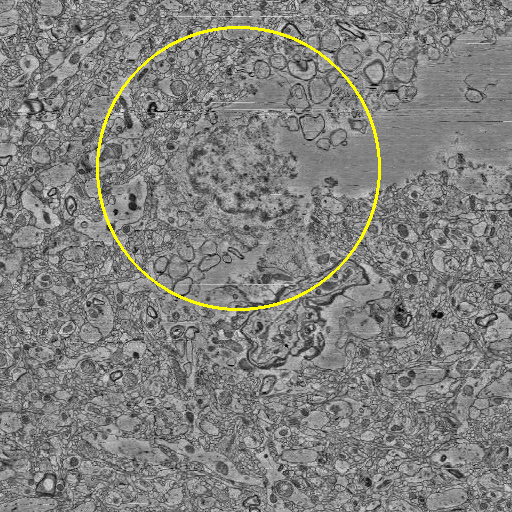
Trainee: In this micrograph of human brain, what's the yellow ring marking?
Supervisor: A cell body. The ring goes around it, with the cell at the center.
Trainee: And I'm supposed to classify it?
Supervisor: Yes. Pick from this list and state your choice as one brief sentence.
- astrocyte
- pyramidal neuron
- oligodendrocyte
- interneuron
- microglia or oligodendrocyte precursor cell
The cell at the ring's center is an interneuron.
